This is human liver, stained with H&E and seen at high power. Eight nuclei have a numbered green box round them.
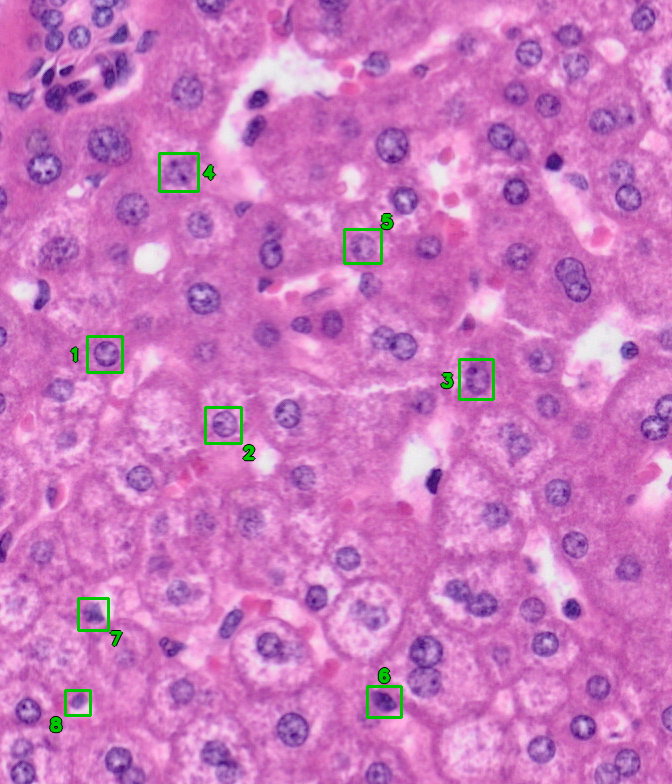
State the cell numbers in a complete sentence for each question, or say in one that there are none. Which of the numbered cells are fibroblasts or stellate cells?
Across all the numbered cells, only number 6 is a fibroblast or stellate cell.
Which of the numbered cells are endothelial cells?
Only number 7 is an endothelial cell; none of the others are.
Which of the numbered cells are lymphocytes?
The numbered cells include exactly one that is a lymphocyte, which is cell 8.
